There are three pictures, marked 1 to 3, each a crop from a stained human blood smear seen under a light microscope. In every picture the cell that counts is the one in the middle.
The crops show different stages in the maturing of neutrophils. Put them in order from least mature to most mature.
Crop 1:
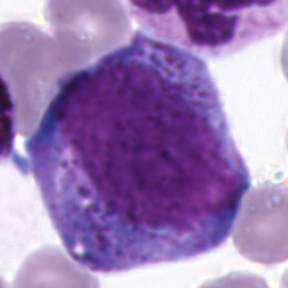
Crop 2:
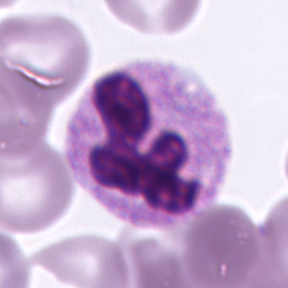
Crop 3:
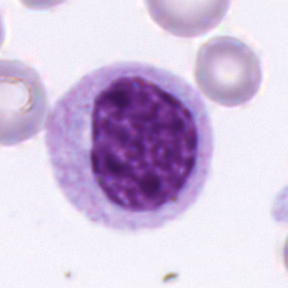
1, 3, 2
